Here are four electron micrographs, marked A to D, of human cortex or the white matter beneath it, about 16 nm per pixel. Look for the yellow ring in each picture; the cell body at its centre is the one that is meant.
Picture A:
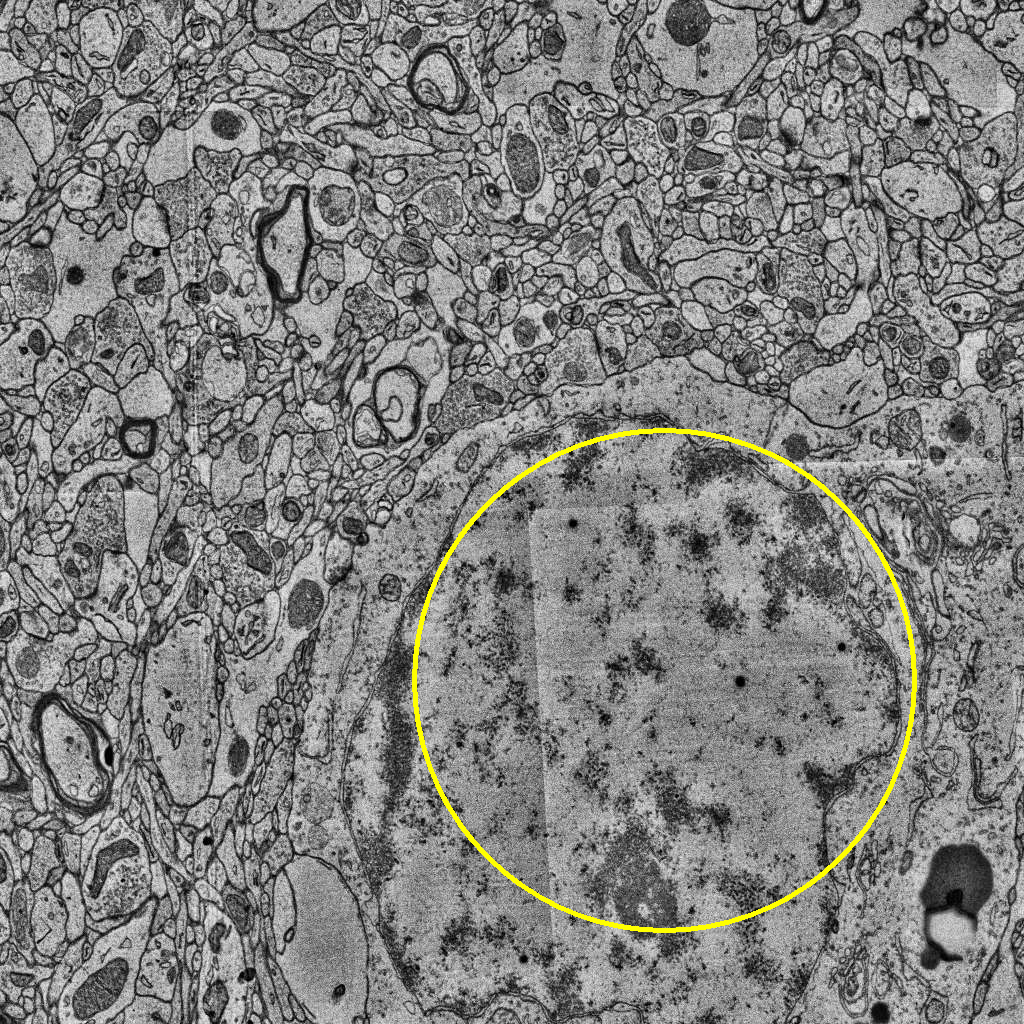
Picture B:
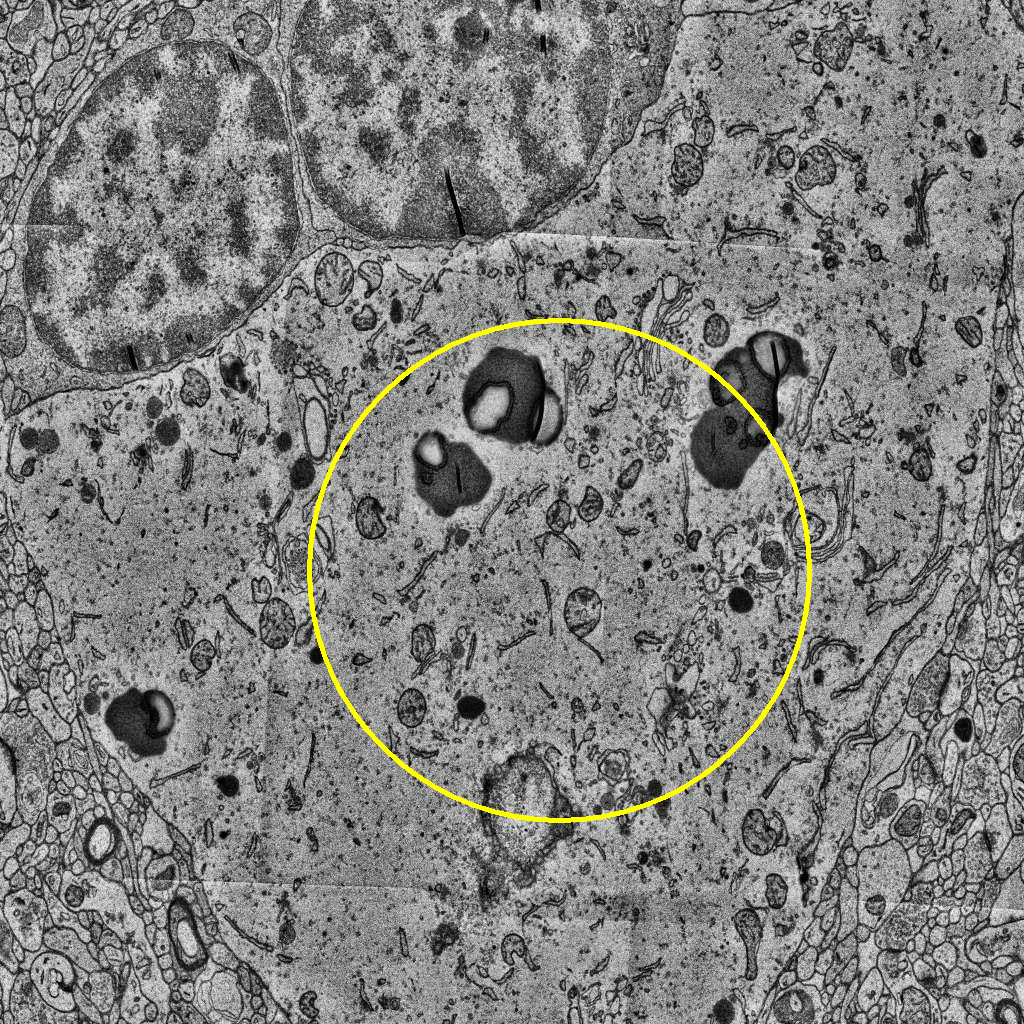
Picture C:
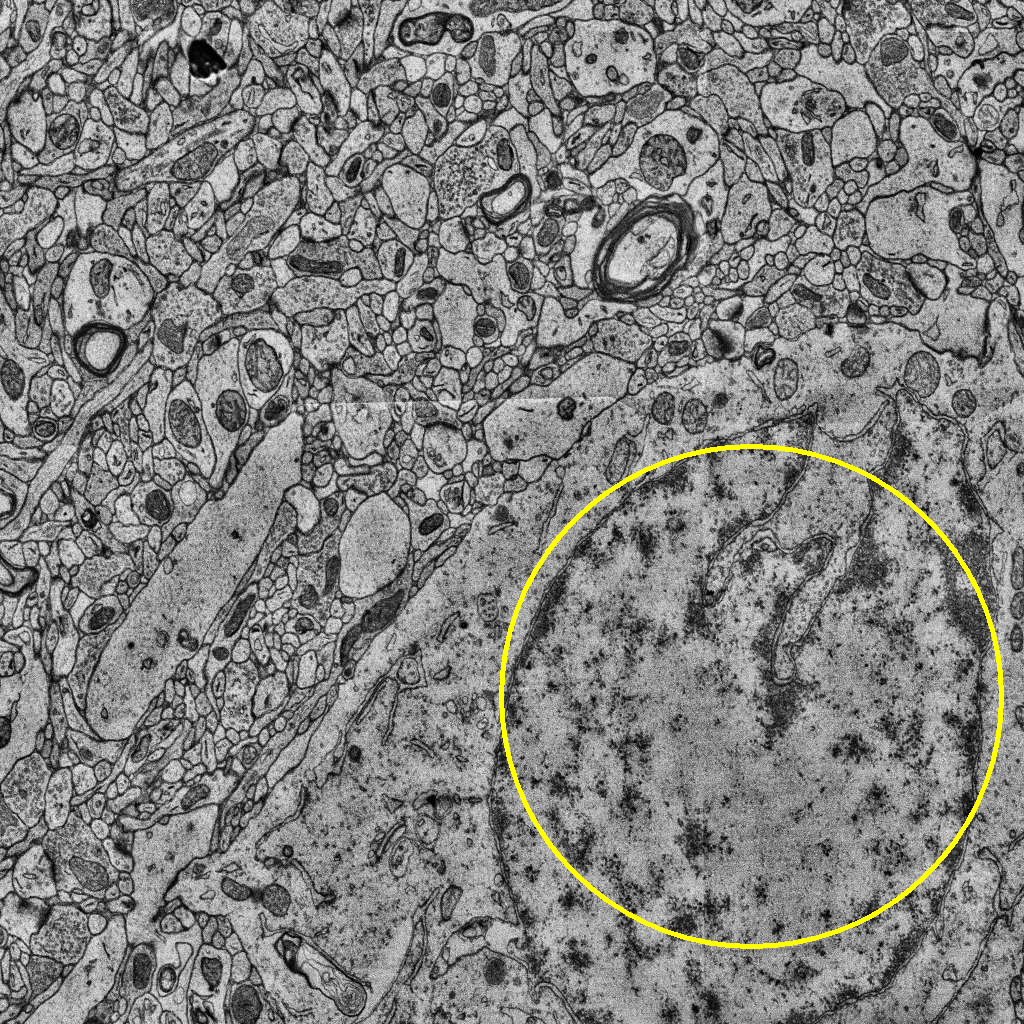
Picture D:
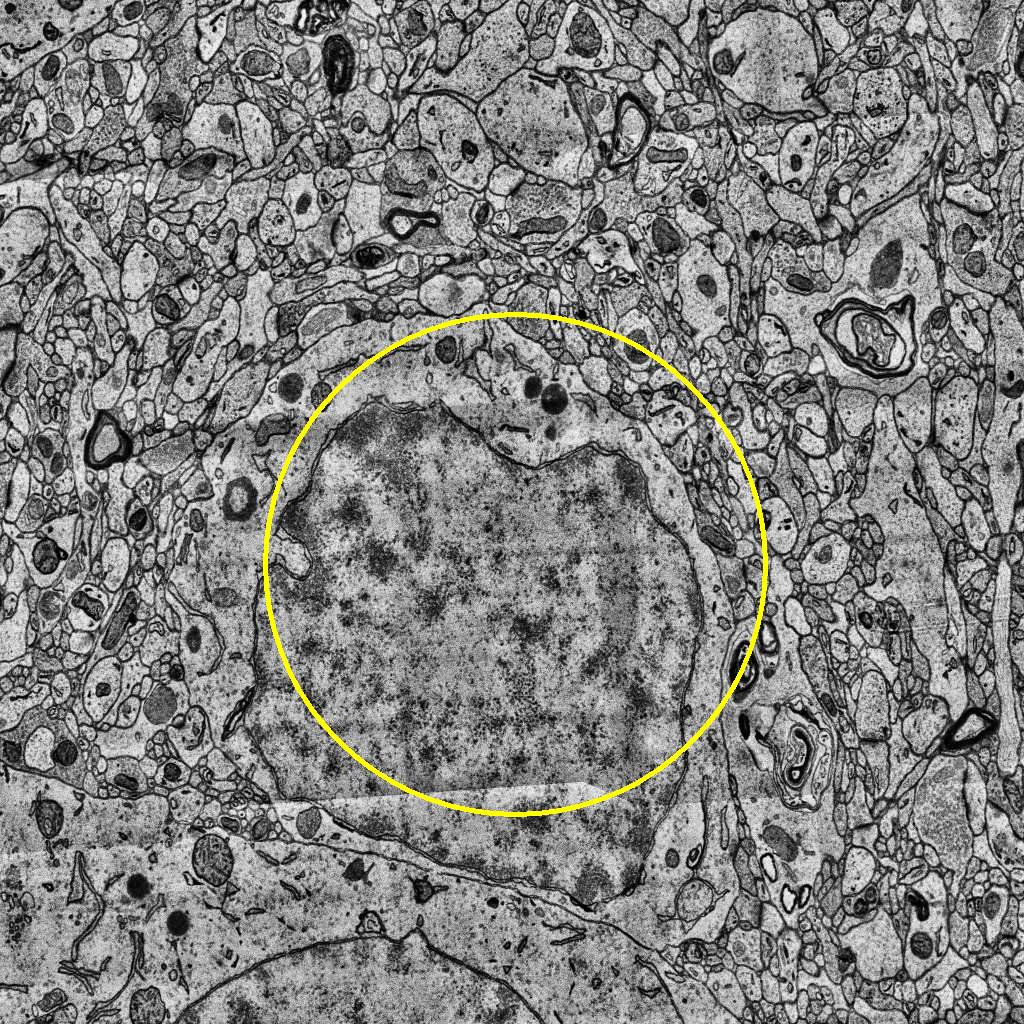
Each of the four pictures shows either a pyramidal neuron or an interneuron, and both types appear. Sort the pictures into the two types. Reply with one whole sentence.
Picture B shows a pyramidal neuron, and pictures A, C and D show interneurons.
